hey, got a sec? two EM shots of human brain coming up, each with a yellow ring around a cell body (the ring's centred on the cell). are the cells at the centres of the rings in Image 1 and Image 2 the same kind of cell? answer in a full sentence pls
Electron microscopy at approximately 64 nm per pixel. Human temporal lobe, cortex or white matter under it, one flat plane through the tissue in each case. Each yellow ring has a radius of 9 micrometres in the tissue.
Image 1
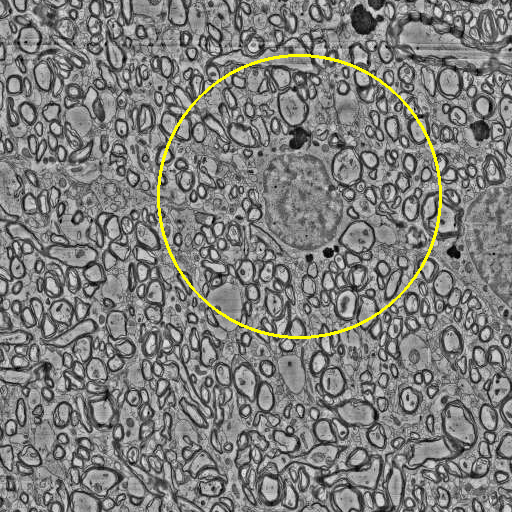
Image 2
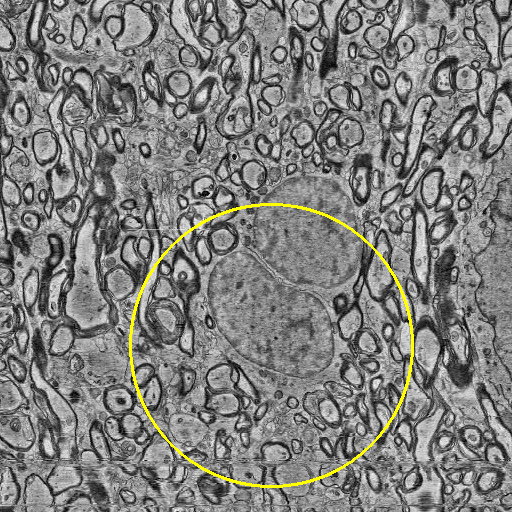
Yes, both are the same kind of cell.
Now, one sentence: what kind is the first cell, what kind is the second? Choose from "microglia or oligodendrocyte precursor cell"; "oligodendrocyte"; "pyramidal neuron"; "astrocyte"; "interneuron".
The second cell is an oligodendrocyte, just as the first is.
